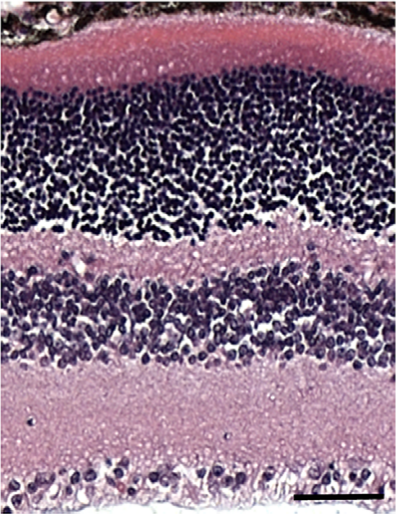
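This section shows the layered neural retina with its full sequence of cell and fibre layers. At the top a thin dark brown-black pigmented epithelium borders a pink, finely striated band of photoreceptor outer and inner segments. Beneath lies the thickest layer, packed with small, round, darkly stained nuclei of the outer nuclear layer. A pale pink fibrous outer plexiform layer separates it from a thinner band of nuclei, the inner nuclear layer. Below is a wide pale pink inner plexiform layer with few nuclei, and at the bottom a single loose row of larger, paler nuclei forms the ganglion cell layer. Layers look orderly and intact.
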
